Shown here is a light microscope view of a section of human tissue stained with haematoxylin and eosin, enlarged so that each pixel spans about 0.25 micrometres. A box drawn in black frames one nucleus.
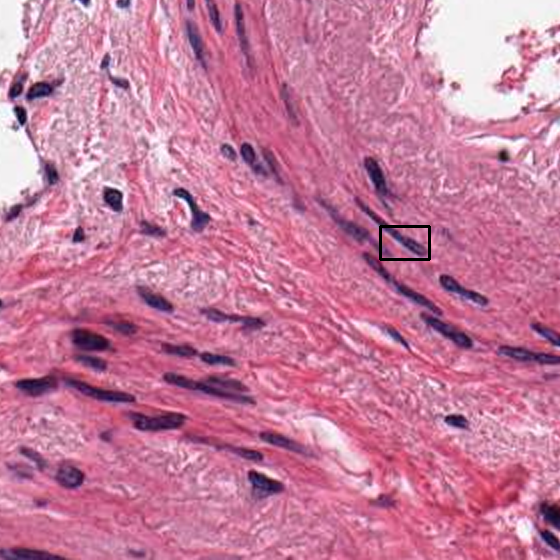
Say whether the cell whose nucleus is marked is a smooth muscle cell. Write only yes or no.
yes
